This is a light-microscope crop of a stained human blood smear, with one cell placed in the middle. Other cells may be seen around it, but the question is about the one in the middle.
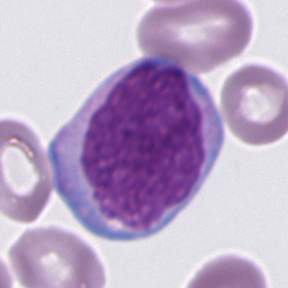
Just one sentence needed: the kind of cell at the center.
The cell around which this crop is centred is an atypical promyelocyte.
